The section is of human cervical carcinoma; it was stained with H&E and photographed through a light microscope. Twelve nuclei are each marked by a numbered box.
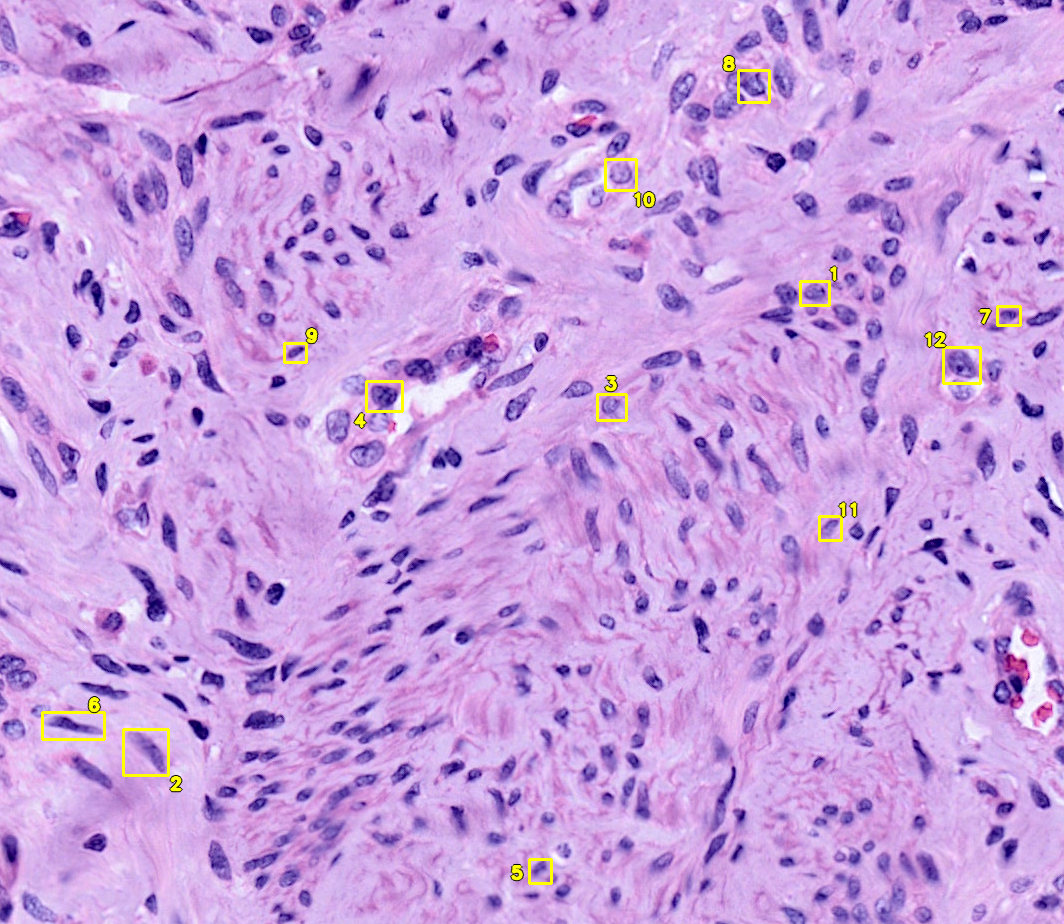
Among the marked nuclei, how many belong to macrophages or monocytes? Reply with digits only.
0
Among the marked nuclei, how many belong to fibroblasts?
2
